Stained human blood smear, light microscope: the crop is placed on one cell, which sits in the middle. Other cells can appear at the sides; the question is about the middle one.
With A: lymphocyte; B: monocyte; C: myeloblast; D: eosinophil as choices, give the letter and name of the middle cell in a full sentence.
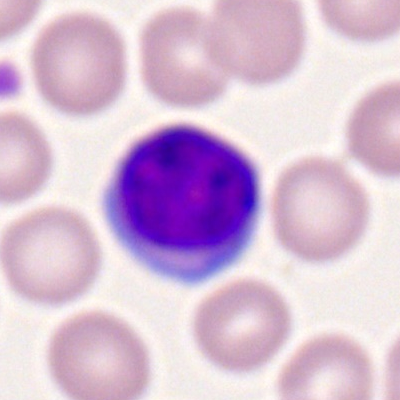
Option A is the correct selection, for the cell at the centre is a lymphocyte.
